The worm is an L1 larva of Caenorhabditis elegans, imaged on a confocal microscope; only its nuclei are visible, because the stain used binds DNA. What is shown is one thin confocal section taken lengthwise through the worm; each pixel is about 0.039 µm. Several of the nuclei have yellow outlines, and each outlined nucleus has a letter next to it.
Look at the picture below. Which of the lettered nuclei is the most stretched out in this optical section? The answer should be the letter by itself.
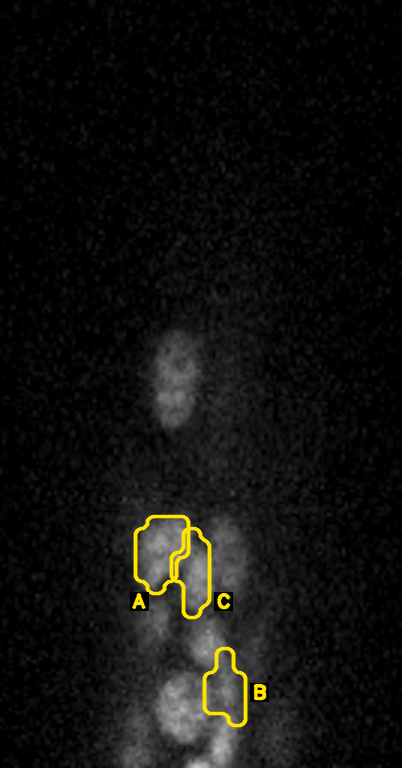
C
